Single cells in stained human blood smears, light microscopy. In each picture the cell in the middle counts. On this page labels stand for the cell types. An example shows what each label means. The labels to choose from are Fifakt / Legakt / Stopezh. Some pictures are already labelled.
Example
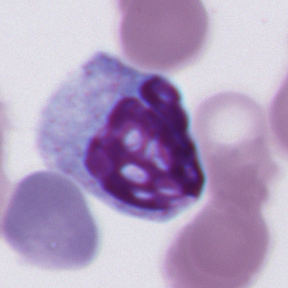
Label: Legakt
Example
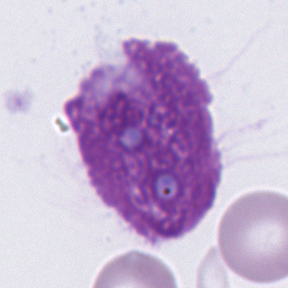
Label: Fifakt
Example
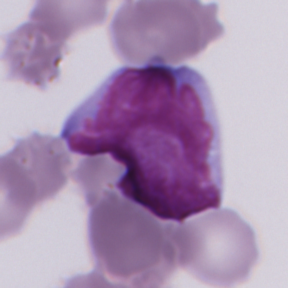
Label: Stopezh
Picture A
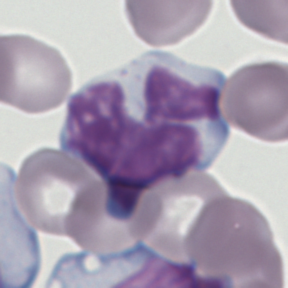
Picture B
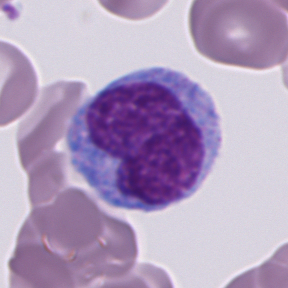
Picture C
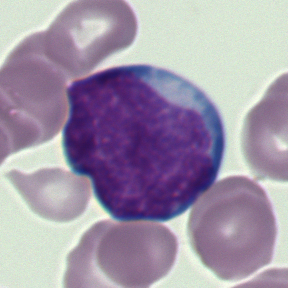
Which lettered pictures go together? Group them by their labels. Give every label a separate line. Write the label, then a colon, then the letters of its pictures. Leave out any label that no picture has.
Legakt: B
Stopezh: A, C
